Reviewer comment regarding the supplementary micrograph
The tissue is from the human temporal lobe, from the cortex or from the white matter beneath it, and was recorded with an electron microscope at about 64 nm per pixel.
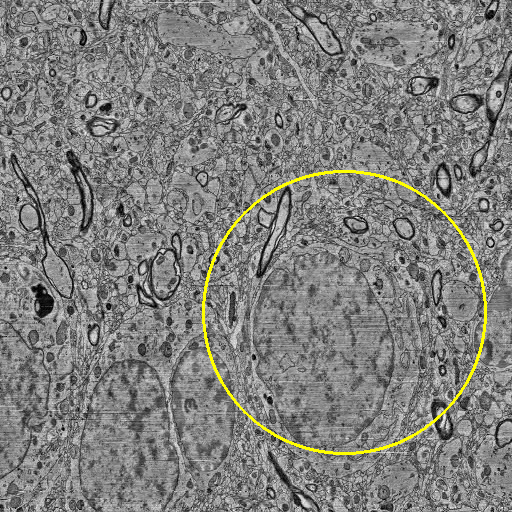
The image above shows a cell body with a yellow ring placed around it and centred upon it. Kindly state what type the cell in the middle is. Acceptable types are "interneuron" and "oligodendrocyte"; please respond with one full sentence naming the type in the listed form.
In the image above, the cell on which the yellow ring is centred is an interneuron.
